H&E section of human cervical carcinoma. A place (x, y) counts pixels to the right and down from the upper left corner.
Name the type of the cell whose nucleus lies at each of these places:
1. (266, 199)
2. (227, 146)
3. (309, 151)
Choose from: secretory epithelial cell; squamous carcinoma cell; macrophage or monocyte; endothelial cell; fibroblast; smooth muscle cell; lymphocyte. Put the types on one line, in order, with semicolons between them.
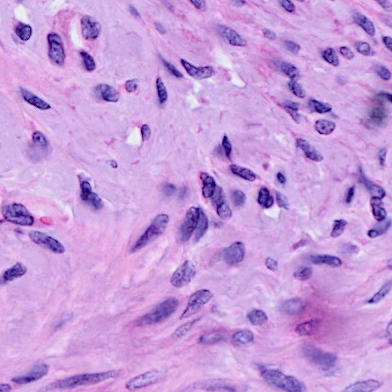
lymphocyte; fibroblast; fibroblast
